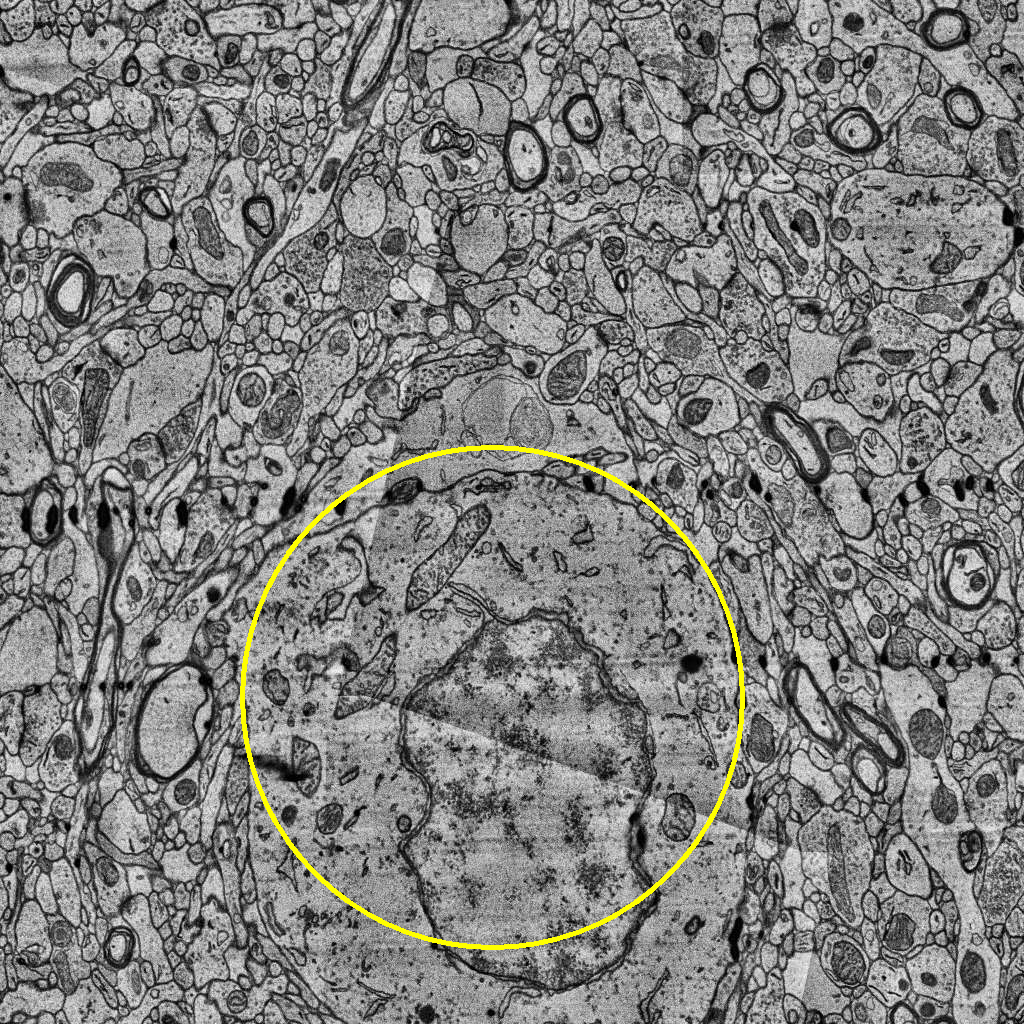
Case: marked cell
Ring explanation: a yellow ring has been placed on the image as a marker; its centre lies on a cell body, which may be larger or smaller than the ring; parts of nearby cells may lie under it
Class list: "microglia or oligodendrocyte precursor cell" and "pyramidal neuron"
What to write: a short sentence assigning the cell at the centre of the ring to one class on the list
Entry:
The cell at the ring's centre is a pyramidal neuron.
